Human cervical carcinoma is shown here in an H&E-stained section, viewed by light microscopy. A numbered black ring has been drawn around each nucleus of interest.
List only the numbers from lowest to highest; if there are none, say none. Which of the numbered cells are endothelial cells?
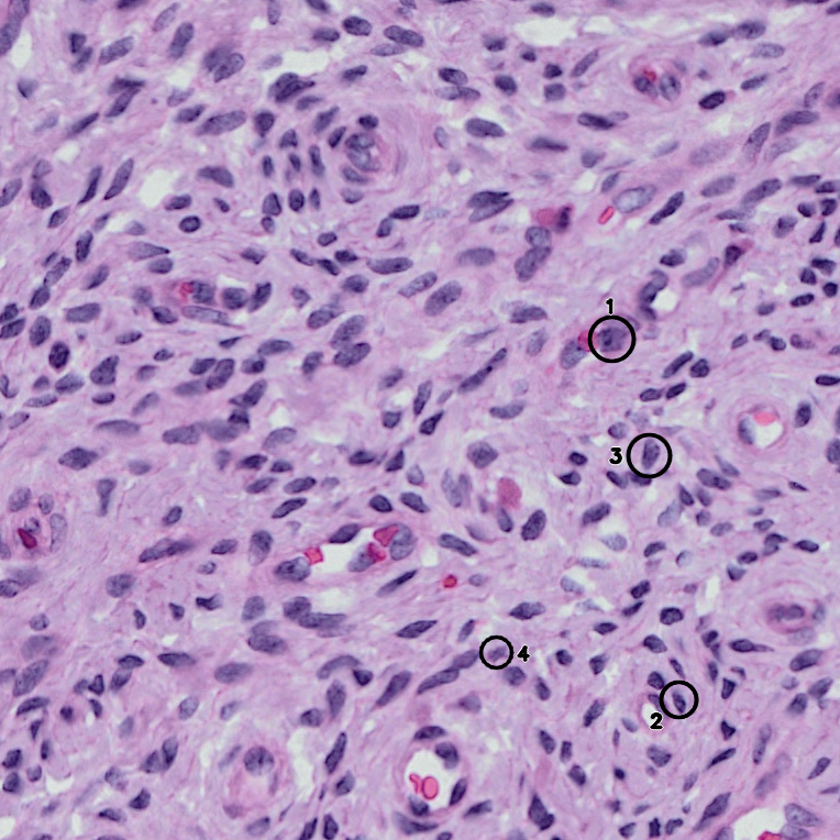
1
